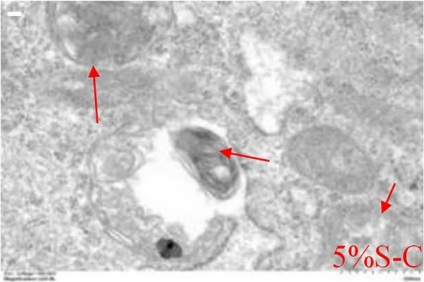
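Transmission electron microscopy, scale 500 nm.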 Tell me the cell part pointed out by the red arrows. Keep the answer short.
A: Autophagic lysosomes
